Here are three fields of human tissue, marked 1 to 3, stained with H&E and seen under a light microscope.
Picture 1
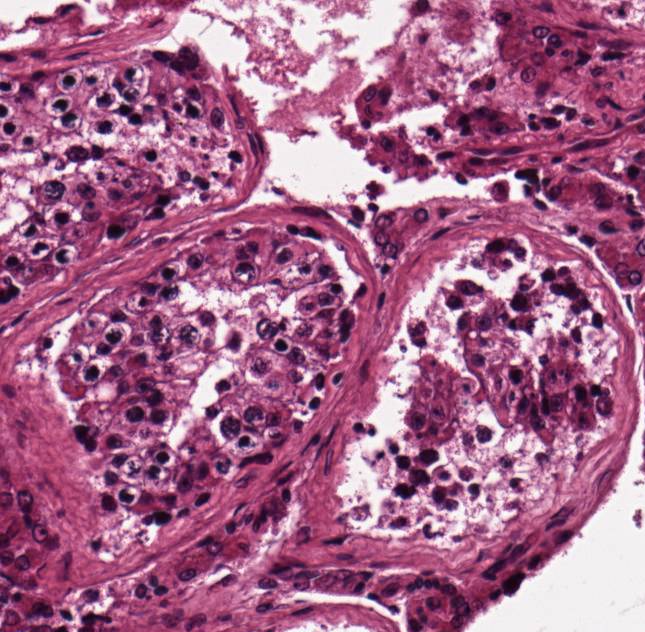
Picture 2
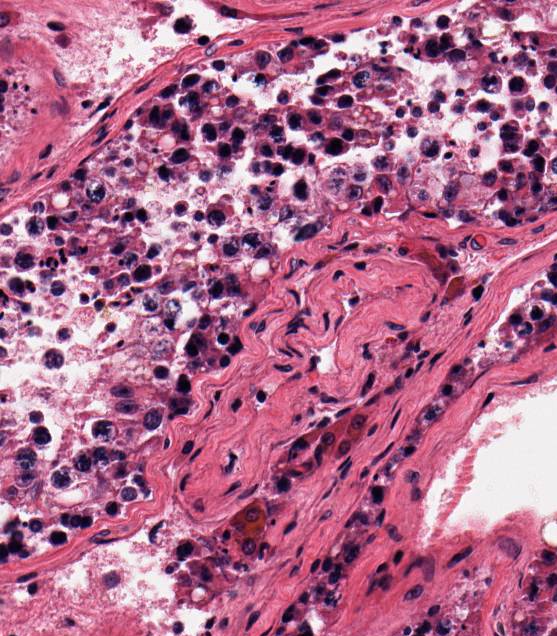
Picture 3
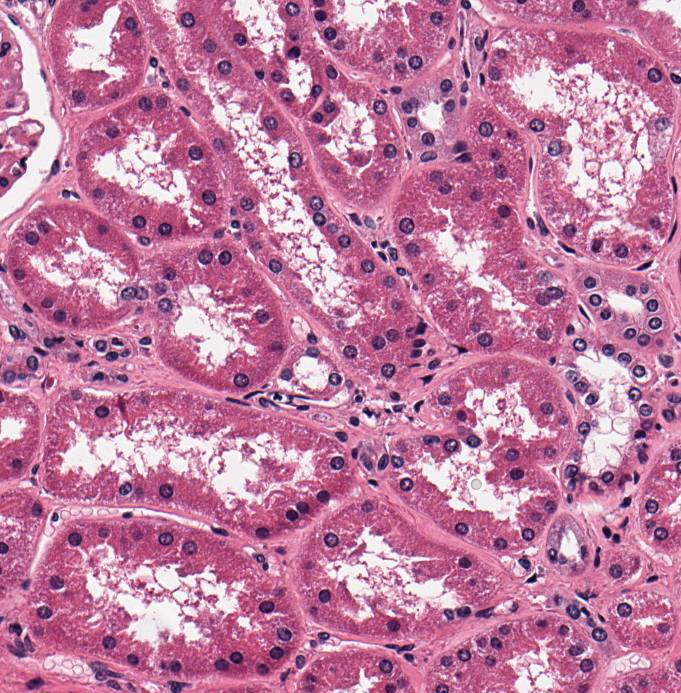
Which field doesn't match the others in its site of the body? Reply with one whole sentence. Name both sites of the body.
Picture 3 is the odd one out: it comes from the renal cortex, while the others come from the testis.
